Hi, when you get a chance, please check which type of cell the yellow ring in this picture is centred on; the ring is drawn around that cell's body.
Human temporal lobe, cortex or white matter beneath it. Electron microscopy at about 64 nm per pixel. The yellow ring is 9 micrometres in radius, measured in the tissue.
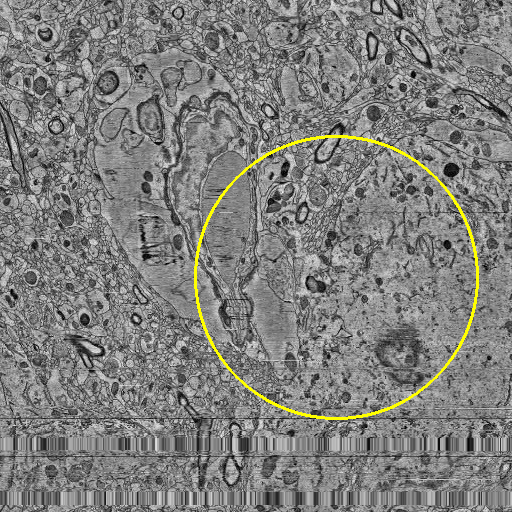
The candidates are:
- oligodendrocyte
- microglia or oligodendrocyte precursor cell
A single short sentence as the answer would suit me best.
The ring is drawn around the body of a microglial cell or oligodendrocyte precursor cell.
